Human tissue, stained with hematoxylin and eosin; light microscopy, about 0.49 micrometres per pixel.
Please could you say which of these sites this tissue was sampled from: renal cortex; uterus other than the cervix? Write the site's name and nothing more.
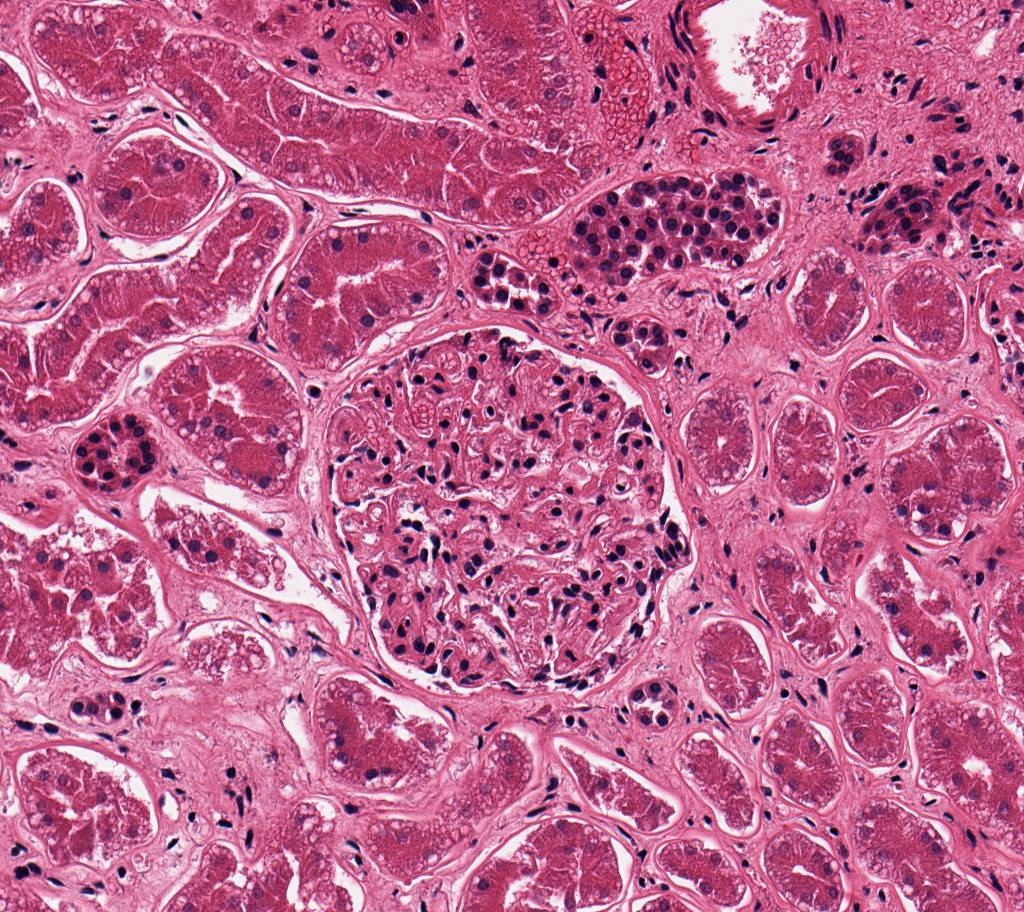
renal cortex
